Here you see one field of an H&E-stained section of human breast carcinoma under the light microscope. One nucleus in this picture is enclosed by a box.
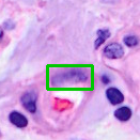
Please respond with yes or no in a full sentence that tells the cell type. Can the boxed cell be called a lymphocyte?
No, it is an endothelial cell rather than a lymphocyte that the boxed cell is.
